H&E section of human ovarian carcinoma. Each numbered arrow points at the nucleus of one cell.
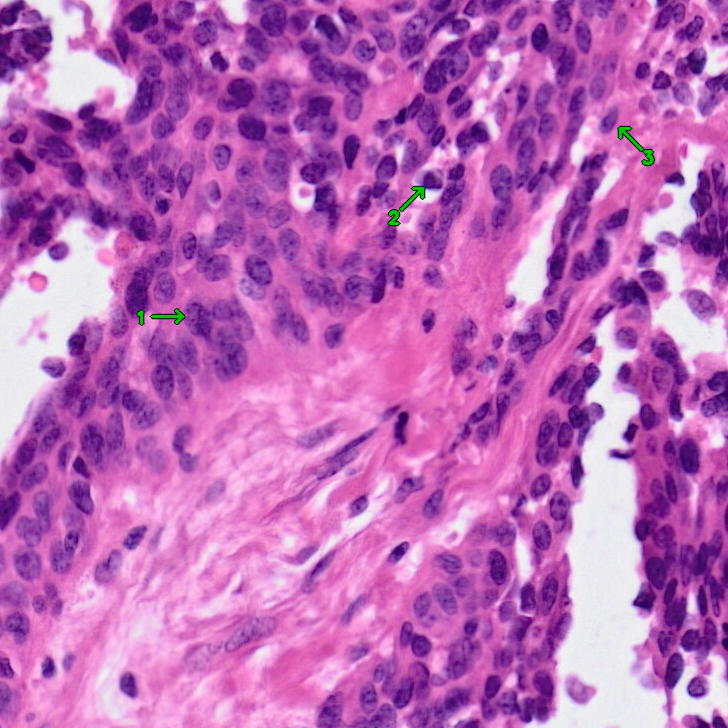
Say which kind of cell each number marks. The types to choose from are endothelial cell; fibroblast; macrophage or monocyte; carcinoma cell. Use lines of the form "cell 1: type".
cell 1: carcinoma cell
cell 2: carcinoma cell
cell 3: macrophage or monocyte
